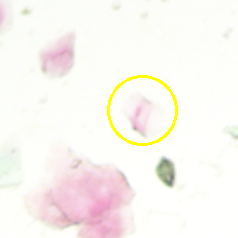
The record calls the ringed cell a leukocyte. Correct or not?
Not correct; it is a cornified epithelial cell.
